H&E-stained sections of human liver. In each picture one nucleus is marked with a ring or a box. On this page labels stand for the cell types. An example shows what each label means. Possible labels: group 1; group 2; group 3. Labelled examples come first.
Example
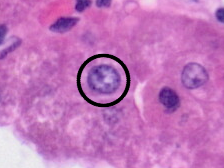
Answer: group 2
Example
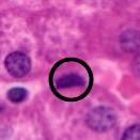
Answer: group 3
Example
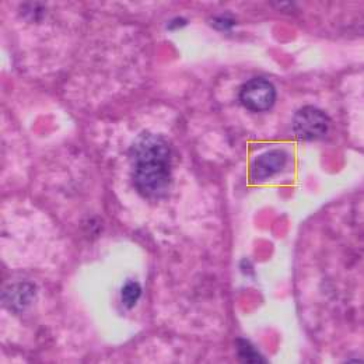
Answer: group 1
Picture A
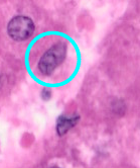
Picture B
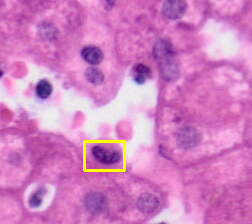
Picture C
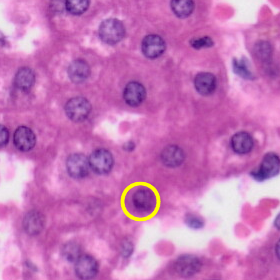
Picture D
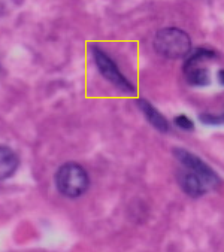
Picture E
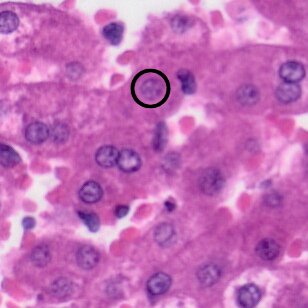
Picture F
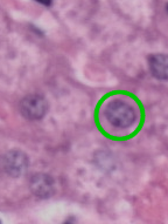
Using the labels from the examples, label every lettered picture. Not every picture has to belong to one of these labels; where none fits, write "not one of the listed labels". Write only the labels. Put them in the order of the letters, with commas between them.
group 1, group 1, group 2, group 3, group 2, group 2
